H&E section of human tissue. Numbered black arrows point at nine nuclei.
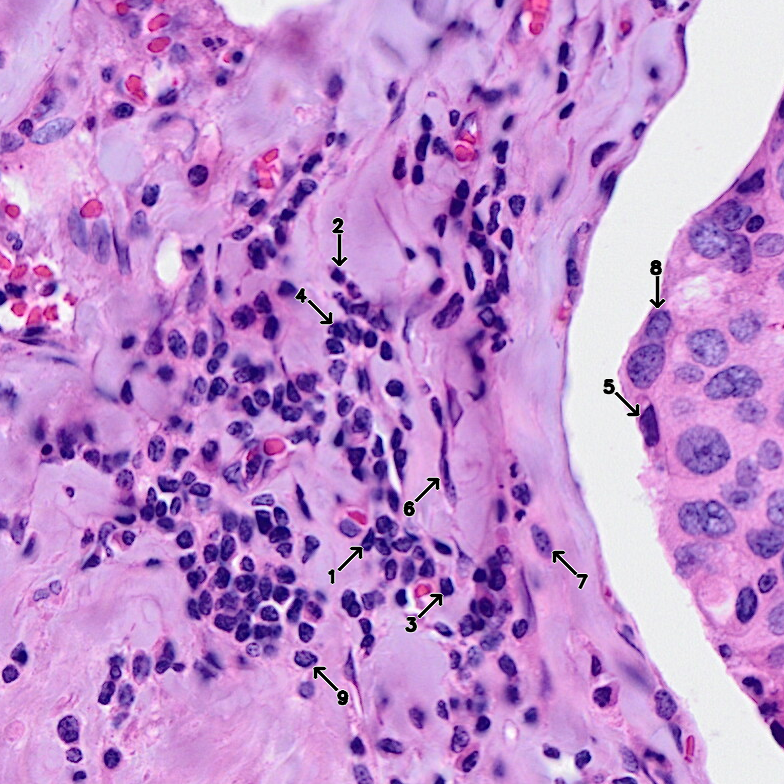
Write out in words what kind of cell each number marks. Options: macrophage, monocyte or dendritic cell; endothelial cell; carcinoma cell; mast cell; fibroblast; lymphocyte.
Cell 1 is a lymphocyte, cell 2 is a lymphocyte, cell 3 is a lymphocyte, cell 4 is a lymphocyte, cell 5 is a carcinoma cell, cell 6 is a fibroblast, cell 7 is a mast cell, cell 8 is a carcinoma cell and cell 9 is a lymphocyte.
